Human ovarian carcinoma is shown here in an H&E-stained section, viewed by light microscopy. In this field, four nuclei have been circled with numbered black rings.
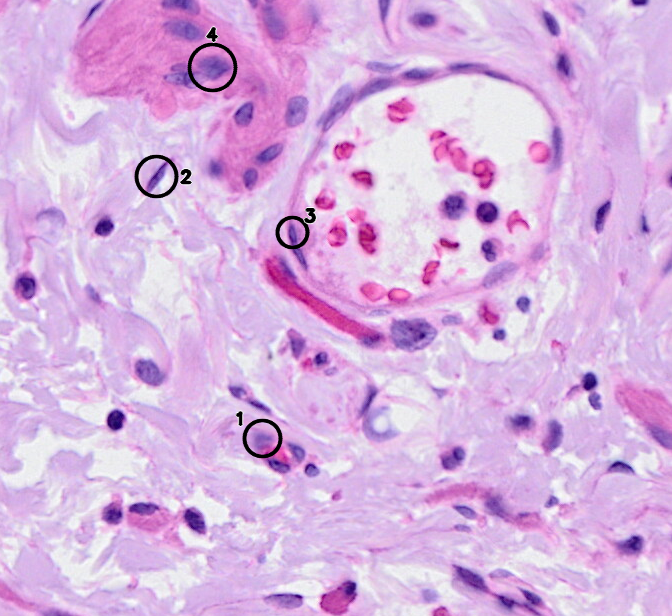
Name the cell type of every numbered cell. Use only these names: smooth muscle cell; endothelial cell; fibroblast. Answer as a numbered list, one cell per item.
1. endothelial cell
2. fibroblast
3. endothelial cell
4. smooth muscle cell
